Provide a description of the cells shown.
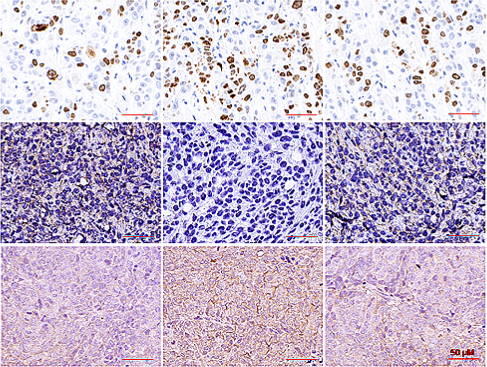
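These are sections of tumor tissue made of tightly packed cells lying in solid sheets, with no glands, layers or other orderly structure. In the top row, many oval nuclei are stained dark brown. Other nuclei stay pale blue, and the brown nuclei are scattered singly among them. The middle row shows crowded round to oval blue nuclei with little cytoplasm between them, and only faint brownish staining in some places. In the bottom row, the tissue is pale violet. Fine brown staining outlines the cytoplasm of the cells in a delicate mesh, more densely in some images than in others. Across all rows, nuclei differ in size and shape.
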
